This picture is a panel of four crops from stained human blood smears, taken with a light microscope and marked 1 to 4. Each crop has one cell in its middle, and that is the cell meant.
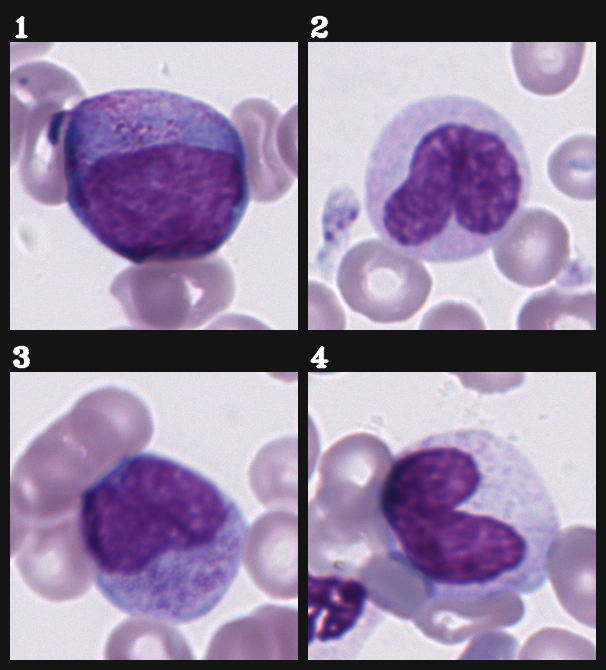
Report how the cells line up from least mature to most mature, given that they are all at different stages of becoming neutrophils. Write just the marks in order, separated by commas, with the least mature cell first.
1, 3, 4, 2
